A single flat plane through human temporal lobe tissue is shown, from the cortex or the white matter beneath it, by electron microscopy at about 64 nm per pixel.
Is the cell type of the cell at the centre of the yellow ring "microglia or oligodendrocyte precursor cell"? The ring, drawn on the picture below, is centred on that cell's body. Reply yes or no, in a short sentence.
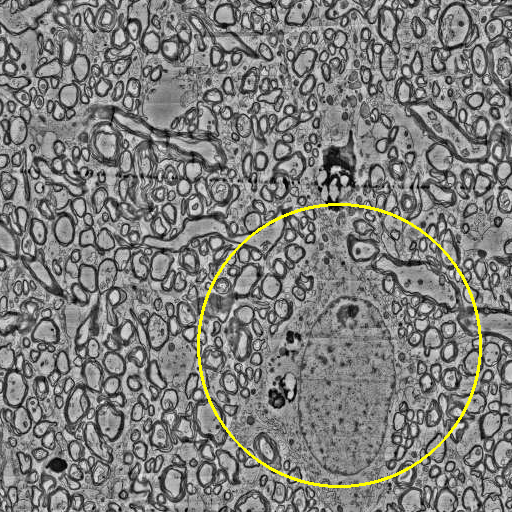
No, its cell type is another.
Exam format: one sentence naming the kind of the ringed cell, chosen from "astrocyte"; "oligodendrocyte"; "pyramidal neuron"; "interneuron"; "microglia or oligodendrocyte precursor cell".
As it turns out, the cell at the ring centre is an astrocyte.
